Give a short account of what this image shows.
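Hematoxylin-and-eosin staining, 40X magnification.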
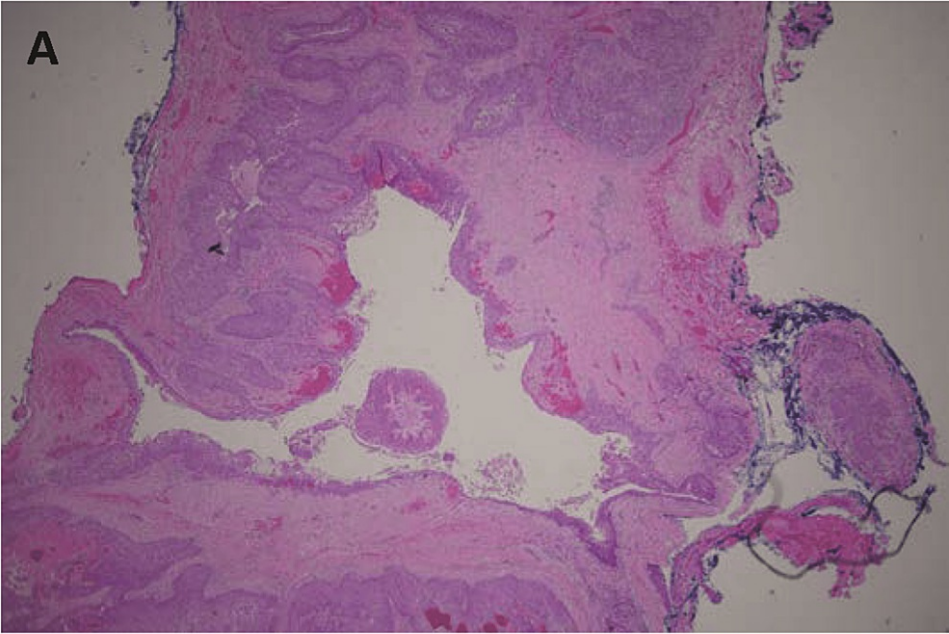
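At low power this lesion is a cystic tumor: a wide empty space in the centre is surrounded by tissue whose lining folds deeply inward. Around the space lie darker purple nests of cells set in lighter pink tissue, with scattered red patches of blood.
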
